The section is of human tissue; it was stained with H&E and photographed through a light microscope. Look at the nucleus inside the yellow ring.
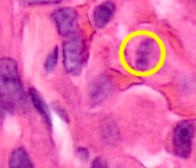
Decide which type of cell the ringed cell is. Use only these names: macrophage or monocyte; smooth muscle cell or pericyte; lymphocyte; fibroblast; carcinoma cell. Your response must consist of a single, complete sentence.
Recorded by type, the ringed cell is a macrophage or monocyte.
